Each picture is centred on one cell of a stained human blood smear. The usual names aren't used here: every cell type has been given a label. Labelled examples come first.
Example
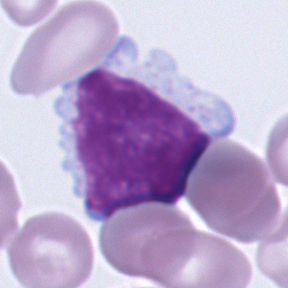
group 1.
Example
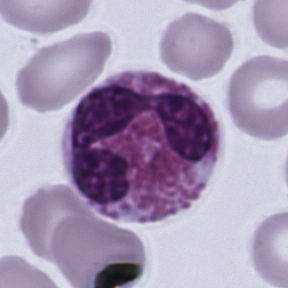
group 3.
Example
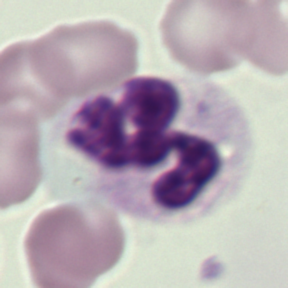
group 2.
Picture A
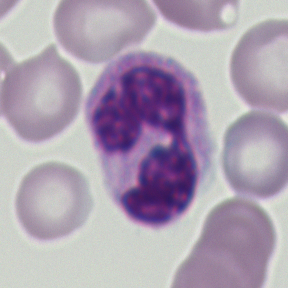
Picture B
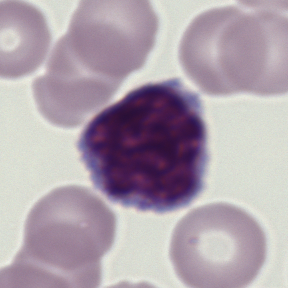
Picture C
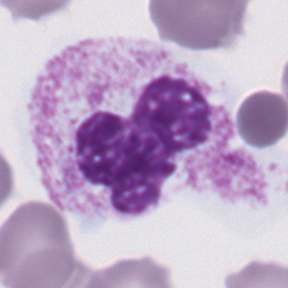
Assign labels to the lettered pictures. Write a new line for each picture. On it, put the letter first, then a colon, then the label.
A: group 2.
B: group 1.
C: group 2.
